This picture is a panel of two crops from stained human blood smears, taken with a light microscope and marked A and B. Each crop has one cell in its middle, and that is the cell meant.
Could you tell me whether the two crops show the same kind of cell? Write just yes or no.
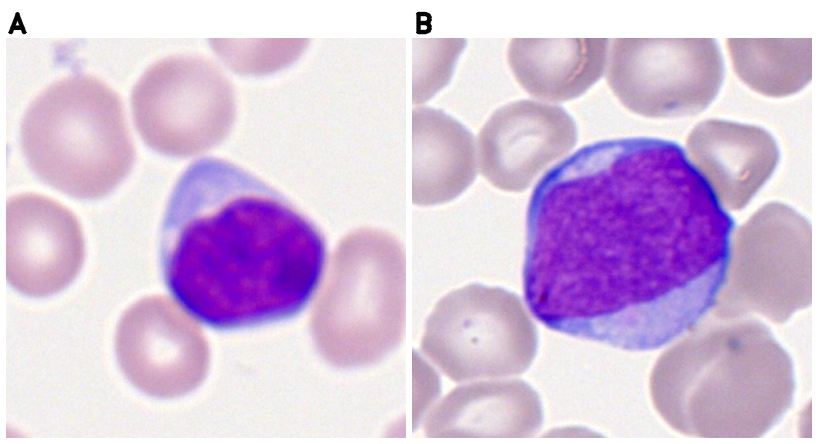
no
